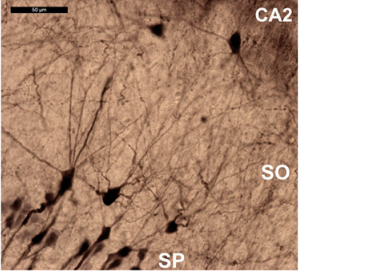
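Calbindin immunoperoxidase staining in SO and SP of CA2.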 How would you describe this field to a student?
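At higher magnification, darkly stained neurons of the hippocampus are seen, with a row of dense cell bodies in the pyramidal cell layer at the bottom. Above it, larger dark somata sit scattered in the stratum oriens, each sending out several long, thin, branching dendrites that run in different directions through the pale neuropil.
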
